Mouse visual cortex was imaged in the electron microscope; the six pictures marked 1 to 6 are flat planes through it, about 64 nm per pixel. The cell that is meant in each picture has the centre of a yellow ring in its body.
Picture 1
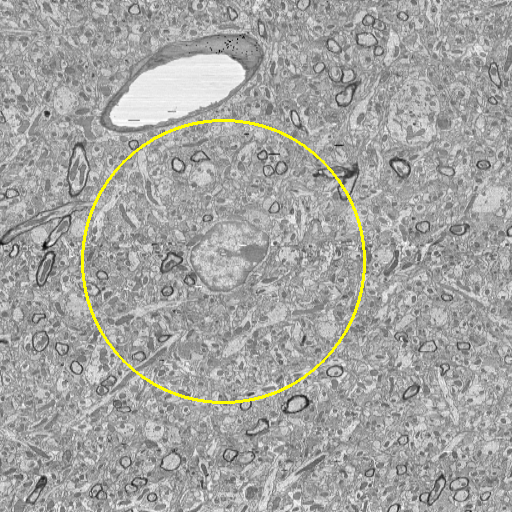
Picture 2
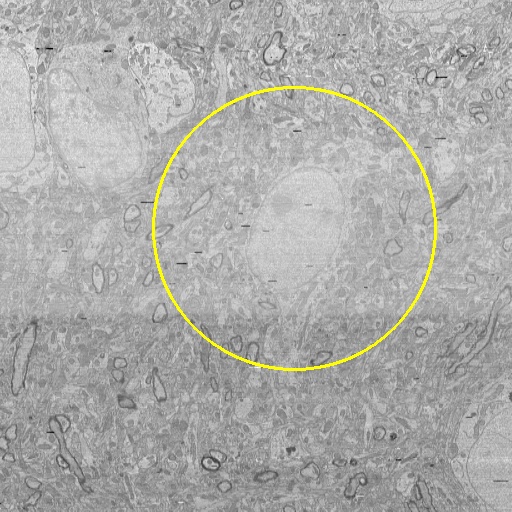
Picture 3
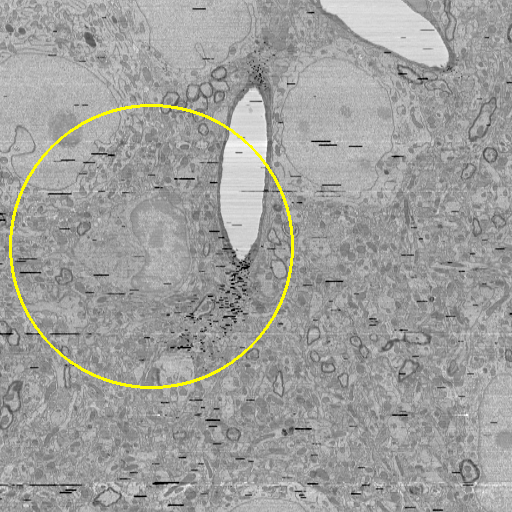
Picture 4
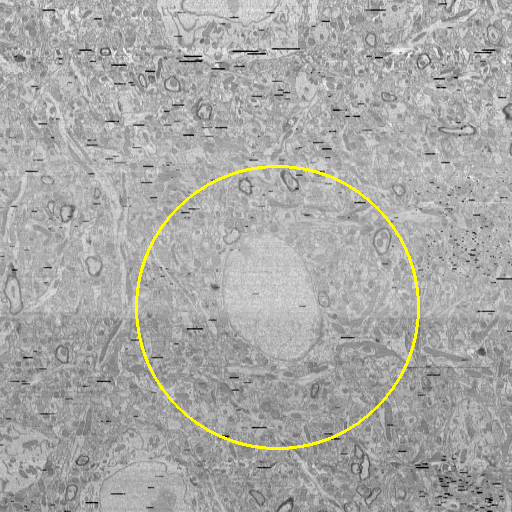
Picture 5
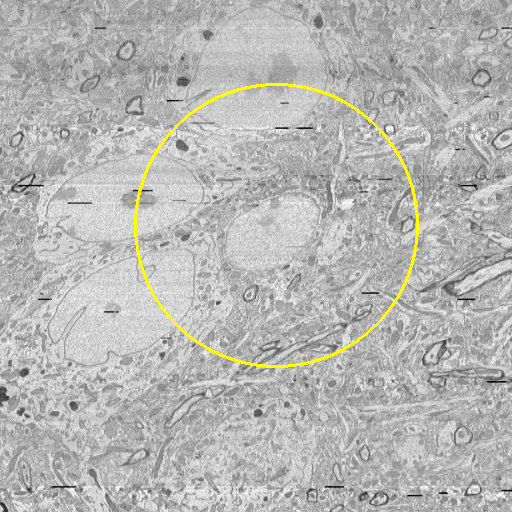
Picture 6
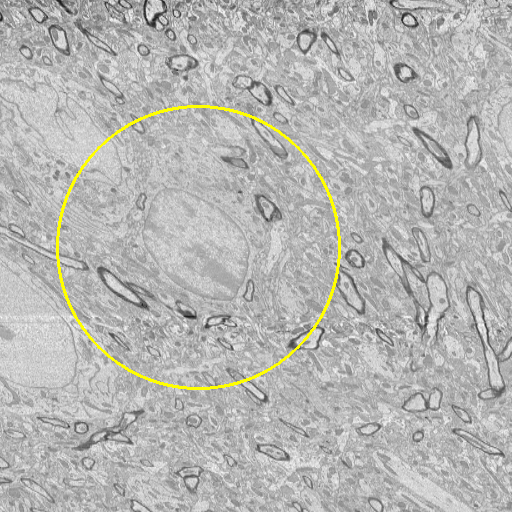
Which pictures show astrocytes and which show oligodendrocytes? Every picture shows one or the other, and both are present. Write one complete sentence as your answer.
Pictures 2, 4 and 5 show astrocytes, while pictures 1, 3 and 6 show oligodendrocytes.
